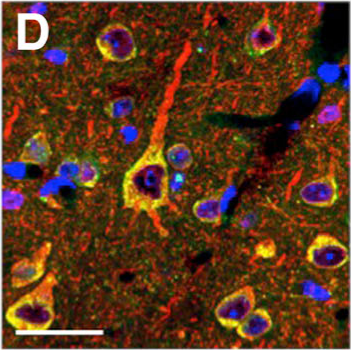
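This is a section of cerebral cortex with scattered rounded and triangular cell bodies lying in a finely speckled red background. Each cell body holds a large round blue nucleus surrounded by a rim of cytoplasm stained yellow to orange where red and green overlap. A larger triangular cell near the centre sends a long red dendrite straight upward, and this process shows little or no green. Thin red fibres run through the background between the cell bodies. Smaller blue nuclei without a stained rim of cytoplasm are scattered between the larger cells, and a dark elongated channel crosses the upper right.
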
